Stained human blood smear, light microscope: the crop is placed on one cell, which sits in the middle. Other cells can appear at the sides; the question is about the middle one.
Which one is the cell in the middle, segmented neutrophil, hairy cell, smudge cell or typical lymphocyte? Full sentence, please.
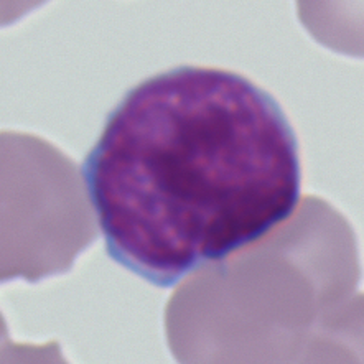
Answering briefly, the cell in the middle is a typical lymphocyte.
